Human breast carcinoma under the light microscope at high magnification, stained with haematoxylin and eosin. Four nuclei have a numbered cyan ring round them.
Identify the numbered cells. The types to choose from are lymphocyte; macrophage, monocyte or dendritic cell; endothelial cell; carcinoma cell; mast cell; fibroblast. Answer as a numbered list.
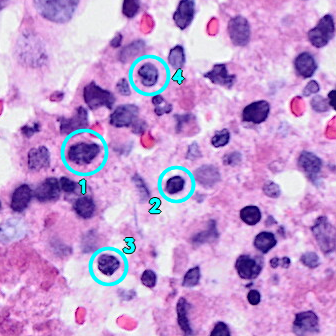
1. carcinoma cell
2. lymphocyte
3. lymphocyte
4. lymphocyte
